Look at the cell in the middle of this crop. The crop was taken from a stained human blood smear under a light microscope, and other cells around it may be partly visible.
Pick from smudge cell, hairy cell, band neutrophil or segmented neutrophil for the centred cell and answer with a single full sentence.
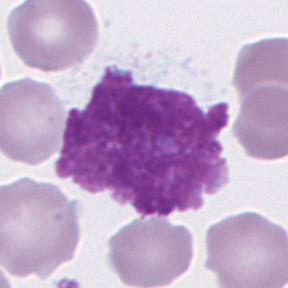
By type, the central cell of the crop is a smudge cell.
